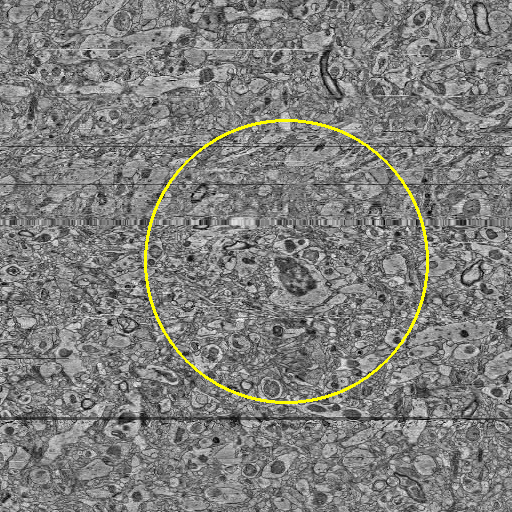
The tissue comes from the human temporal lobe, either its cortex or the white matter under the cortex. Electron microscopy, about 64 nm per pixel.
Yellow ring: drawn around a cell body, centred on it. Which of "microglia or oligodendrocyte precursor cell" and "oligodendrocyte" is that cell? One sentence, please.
That cell body is from a microglial cell or oligodendrocyte precursor cell.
